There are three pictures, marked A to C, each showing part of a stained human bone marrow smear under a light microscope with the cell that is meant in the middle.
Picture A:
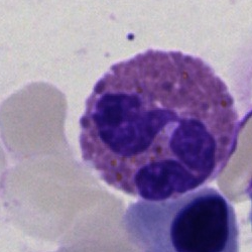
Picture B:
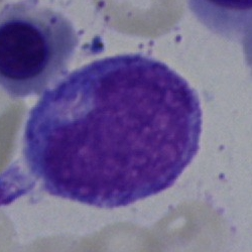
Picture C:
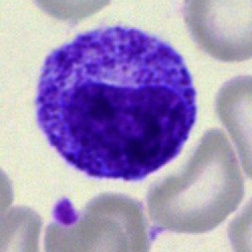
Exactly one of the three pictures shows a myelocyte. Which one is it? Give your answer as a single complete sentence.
The myelocyte is the one in picture C.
